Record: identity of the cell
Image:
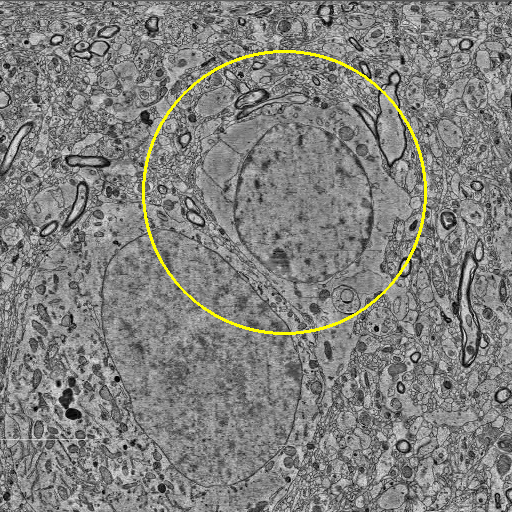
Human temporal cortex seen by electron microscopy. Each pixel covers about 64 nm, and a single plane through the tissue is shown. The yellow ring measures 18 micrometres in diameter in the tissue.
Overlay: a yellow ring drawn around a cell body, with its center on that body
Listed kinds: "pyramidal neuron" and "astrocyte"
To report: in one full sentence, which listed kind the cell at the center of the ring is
In the image, the cell body at the ring's center belongs to an astrocyte.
